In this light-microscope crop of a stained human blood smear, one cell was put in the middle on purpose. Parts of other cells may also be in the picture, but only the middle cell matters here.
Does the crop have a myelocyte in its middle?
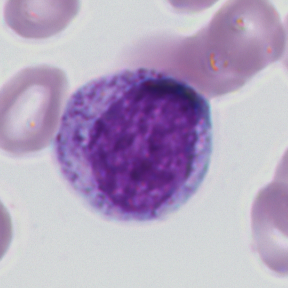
yes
